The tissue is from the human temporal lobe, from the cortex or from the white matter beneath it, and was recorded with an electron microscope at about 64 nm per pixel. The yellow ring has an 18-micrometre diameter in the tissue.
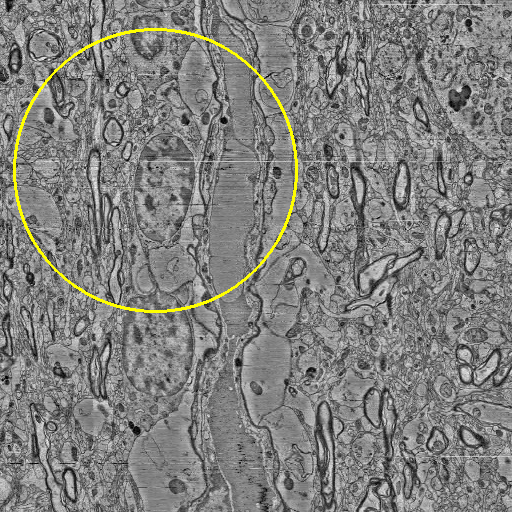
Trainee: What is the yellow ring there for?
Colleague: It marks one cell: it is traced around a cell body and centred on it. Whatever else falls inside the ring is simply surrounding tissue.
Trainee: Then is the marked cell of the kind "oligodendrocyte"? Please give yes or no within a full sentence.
No, the marked cell at the centre of the yellow ring is of a different kind.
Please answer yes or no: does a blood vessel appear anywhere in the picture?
Yes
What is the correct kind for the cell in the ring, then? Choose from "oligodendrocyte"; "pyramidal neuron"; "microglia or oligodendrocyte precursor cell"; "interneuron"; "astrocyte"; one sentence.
Instead, the cell at the centre of the ring is a microglial cell or oligodendrocyte precursor cell.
